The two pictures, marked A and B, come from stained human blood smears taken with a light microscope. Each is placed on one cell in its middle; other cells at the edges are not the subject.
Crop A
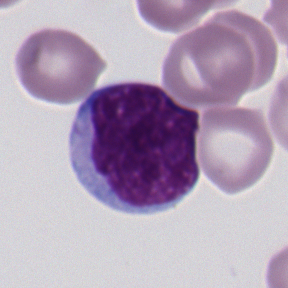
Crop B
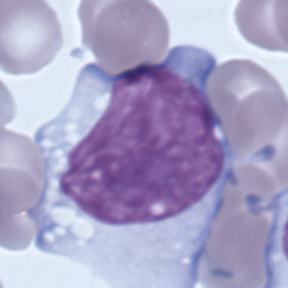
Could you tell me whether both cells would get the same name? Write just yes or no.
no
